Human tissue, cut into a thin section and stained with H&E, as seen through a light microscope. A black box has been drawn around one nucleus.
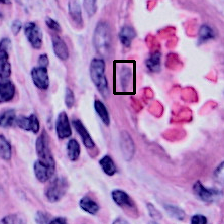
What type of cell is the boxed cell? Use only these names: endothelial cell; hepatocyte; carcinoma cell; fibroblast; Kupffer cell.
endothelial cell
